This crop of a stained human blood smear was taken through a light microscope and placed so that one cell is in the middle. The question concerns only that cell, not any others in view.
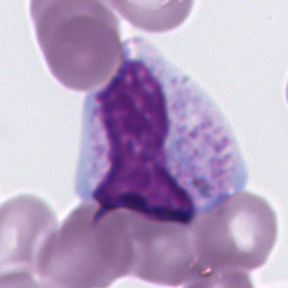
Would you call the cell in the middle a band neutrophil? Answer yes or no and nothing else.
yes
